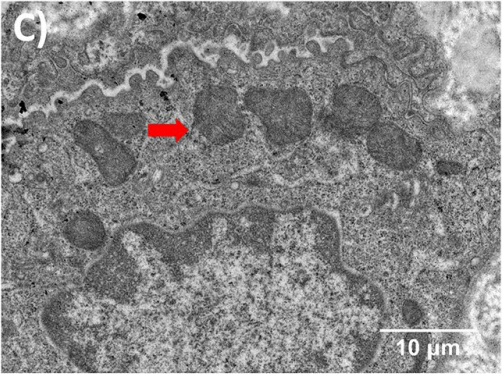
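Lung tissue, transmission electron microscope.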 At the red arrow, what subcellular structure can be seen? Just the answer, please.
Mitochondria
